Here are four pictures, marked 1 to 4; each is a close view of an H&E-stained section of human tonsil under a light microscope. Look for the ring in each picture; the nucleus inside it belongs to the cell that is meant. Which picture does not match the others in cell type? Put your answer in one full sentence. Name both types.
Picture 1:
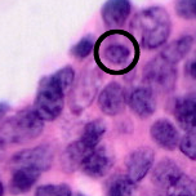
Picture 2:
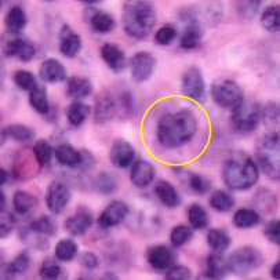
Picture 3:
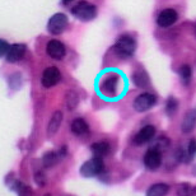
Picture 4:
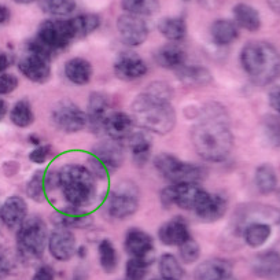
Picture 3 differs, because its cell is a plasma cell and the rest are proliferating B cells.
